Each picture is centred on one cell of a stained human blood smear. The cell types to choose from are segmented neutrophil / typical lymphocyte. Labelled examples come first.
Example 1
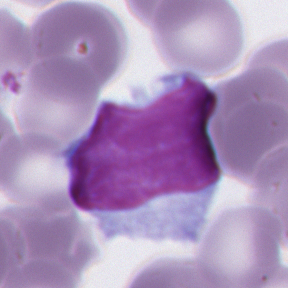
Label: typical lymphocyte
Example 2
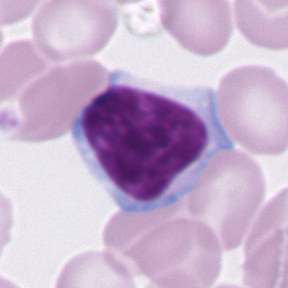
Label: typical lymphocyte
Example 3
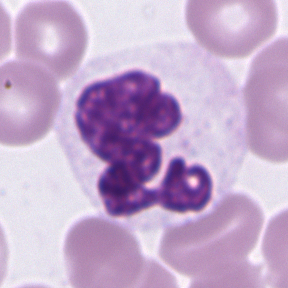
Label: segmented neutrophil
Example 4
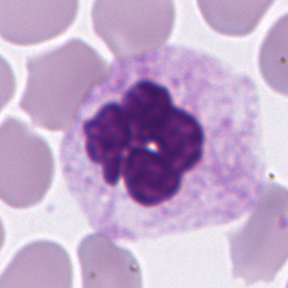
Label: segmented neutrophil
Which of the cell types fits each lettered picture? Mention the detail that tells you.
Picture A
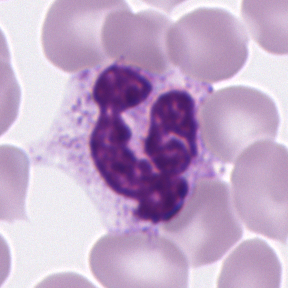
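Label: segmented neutrophil. The nucleus is one continuous mass curled into a C-like shape with thick joins between its parts.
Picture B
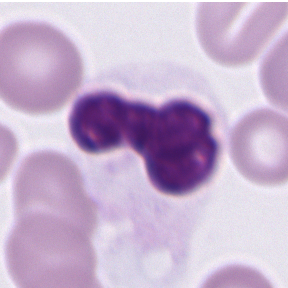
Label: segmented neutrophil. The cytoplasm is very pale, almost colourless with a faint lilac tint.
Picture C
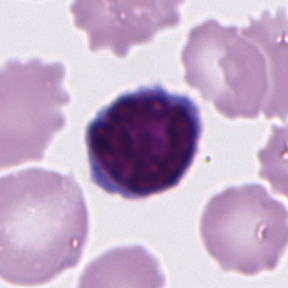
Label: typical lymphocyte. The cytoplasm is a scant rim of blue.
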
